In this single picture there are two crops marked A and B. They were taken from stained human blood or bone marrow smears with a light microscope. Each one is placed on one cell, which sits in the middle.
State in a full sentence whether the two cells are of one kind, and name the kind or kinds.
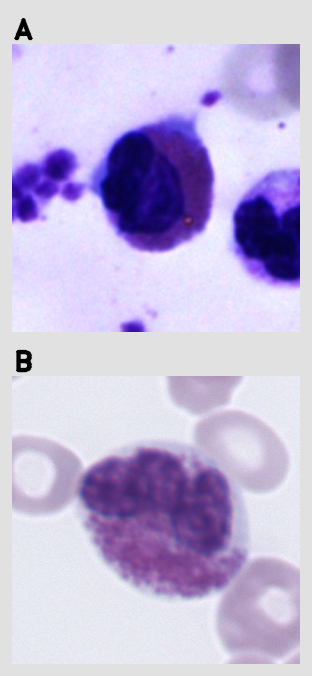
Yes, the cells at the centres of the two crops are eosinophils.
